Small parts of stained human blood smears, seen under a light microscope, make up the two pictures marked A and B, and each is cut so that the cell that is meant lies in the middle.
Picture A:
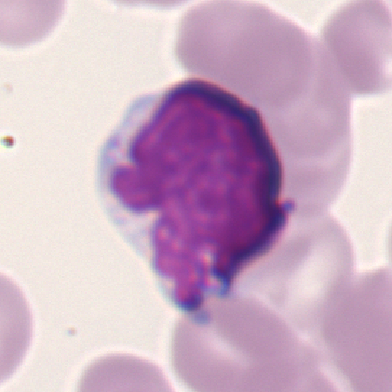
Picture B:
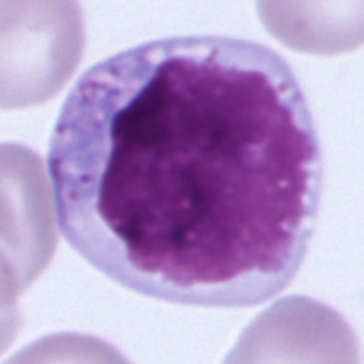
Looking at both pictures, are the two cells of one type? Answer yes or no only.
yes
